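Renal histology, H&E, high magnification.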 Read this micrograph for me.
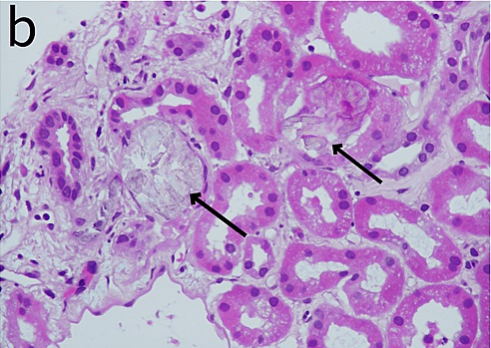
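Kidney tubules cut in cross-section, lined by cuboidal epithelial cells with pink cytoplasm and round dark nuclei, several with widened lumens. Two tubules have their lumens filled with pale, glassy, translucent crystalline material, and the interstitium between tubules is loose and pale.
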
